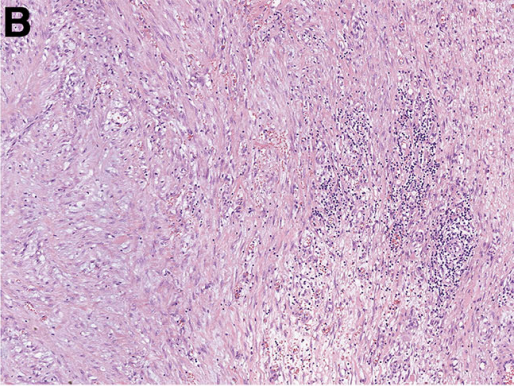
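The spindle cells have elongated, slender nuclei and faint pink cytoplasm that blends into the surrounding matrix. Among them lie patchy clusters of small, round, dark-staining nuclei belonging to chronic inflammatory cells, and scattered red blood cells lie free in the stroma. The overall pattern, with loosely textured spindle cells in a tissue-culture-like background mixed with inflammatory cells, resembles a reactive fibroblastic proliferation rather than an organized connective tissue.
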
